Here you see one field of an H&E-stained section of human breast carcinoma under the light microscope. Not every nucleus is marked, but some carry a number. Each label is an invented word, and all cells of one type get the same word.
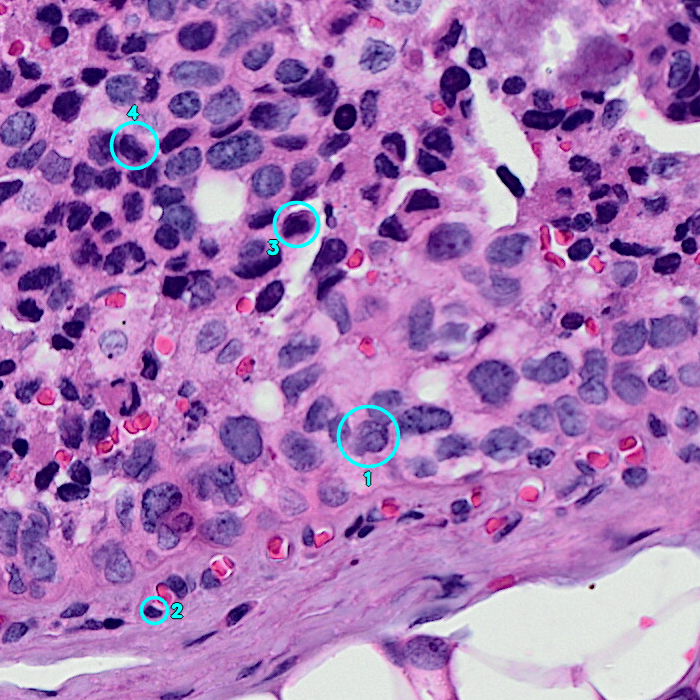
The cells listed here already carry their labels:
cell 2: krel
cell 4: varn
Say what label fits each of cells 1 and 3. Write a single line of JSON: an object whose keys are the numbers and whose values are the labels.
{"1": "varn", "3": "varn"}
